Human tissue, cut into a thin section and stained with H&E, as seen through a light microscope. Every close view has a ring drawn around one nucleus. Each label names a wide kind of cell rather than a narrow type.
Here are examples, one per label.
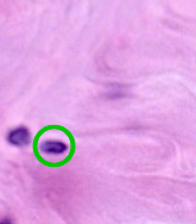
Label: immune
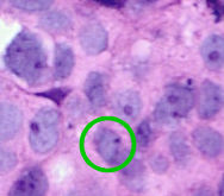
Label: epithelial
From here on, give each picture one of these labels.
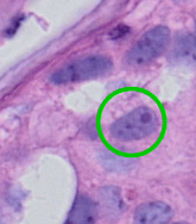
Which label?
epithelial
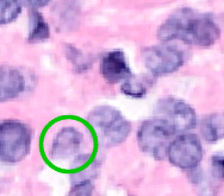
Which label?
epithelial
